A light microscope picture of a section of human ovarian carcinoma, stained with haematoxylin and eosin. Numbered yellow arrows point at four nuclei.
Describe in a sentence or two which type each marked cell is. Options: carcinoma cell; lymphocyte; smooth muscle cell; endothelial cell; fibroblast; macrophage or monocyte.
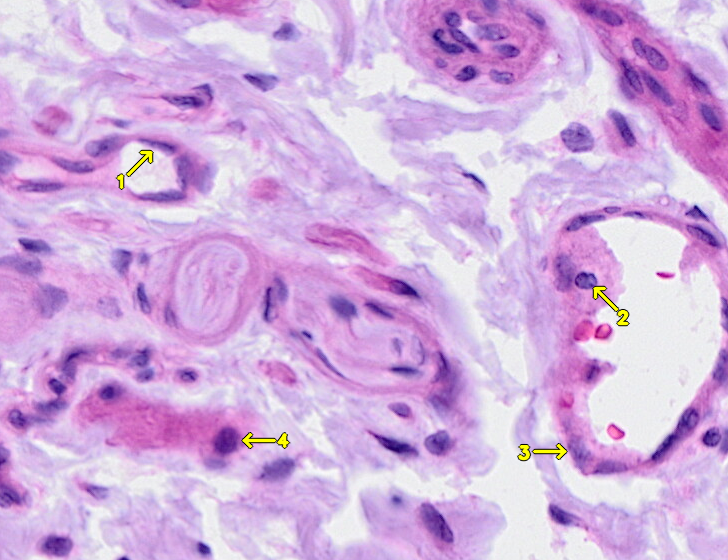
Cell 1 is an endothelial cell, cell 2 is a lymphocyte, cell 3 is an endothelial cell and cell 4 is a smooth muscle cell.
